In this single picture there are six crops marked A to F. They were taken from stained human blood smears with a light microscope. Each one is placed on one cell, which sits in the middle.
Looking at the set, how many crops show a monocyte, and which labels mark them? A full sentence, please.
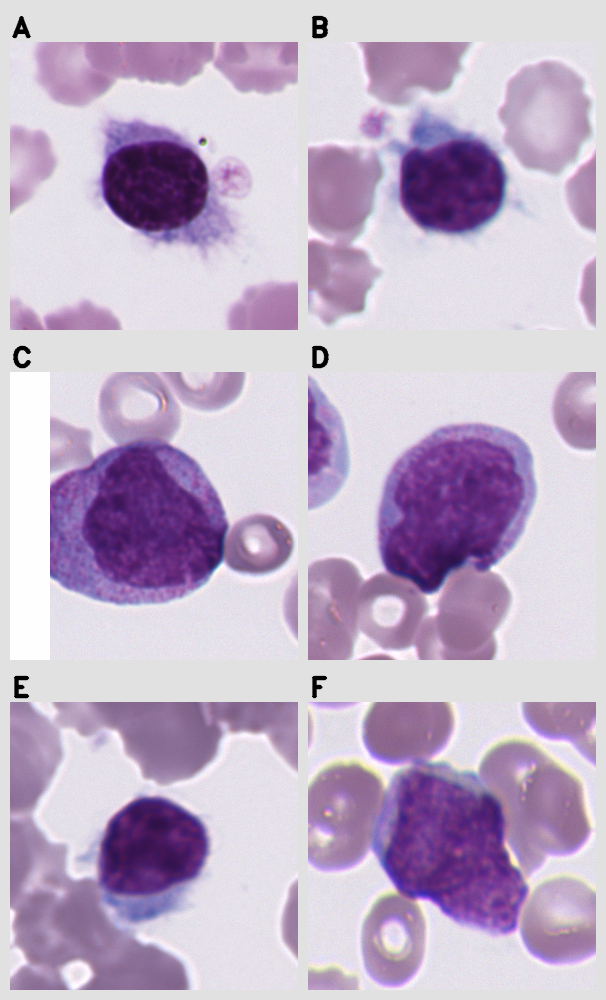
Not one crop shows monocytes; the count is therefore zero.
